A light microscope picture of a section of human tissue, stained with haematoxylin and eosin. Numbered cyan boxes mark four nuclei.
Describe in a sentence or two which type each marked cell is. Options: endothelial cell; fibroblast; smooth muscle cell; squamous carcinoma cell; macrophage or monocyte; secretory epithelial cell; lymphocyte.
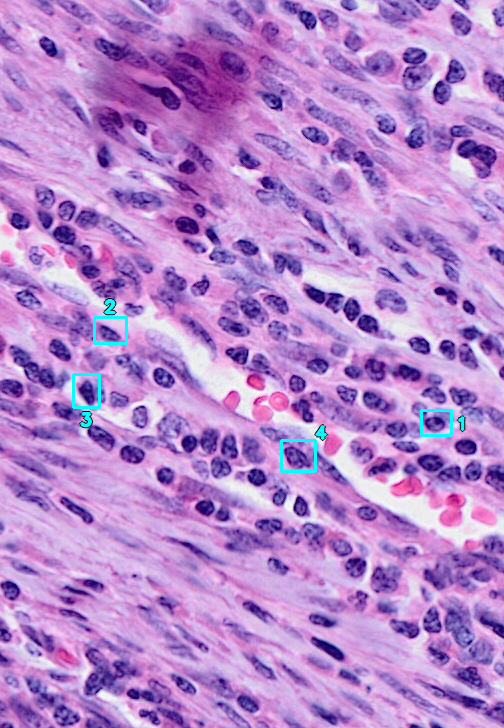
Cell 1 is a lymphocyte, cell 2 is a lymphocyte, cell 3 is a lymphocyte and cell 4 is an endothelial cell.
